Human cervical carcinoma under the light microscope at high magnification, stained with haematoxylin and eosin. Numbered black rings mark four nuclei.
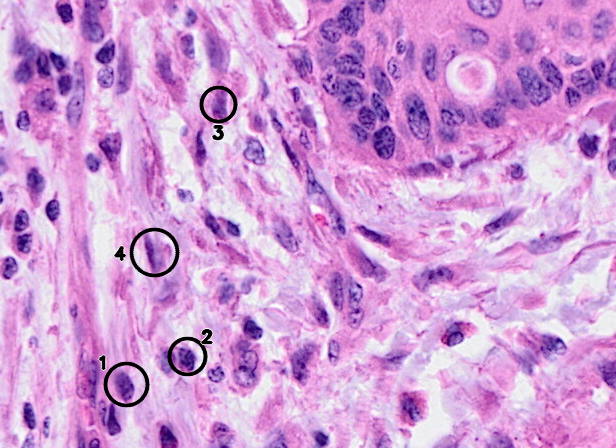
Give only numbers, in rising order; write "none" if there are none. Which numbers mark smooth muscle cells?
none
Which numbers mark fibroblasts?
3, 4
